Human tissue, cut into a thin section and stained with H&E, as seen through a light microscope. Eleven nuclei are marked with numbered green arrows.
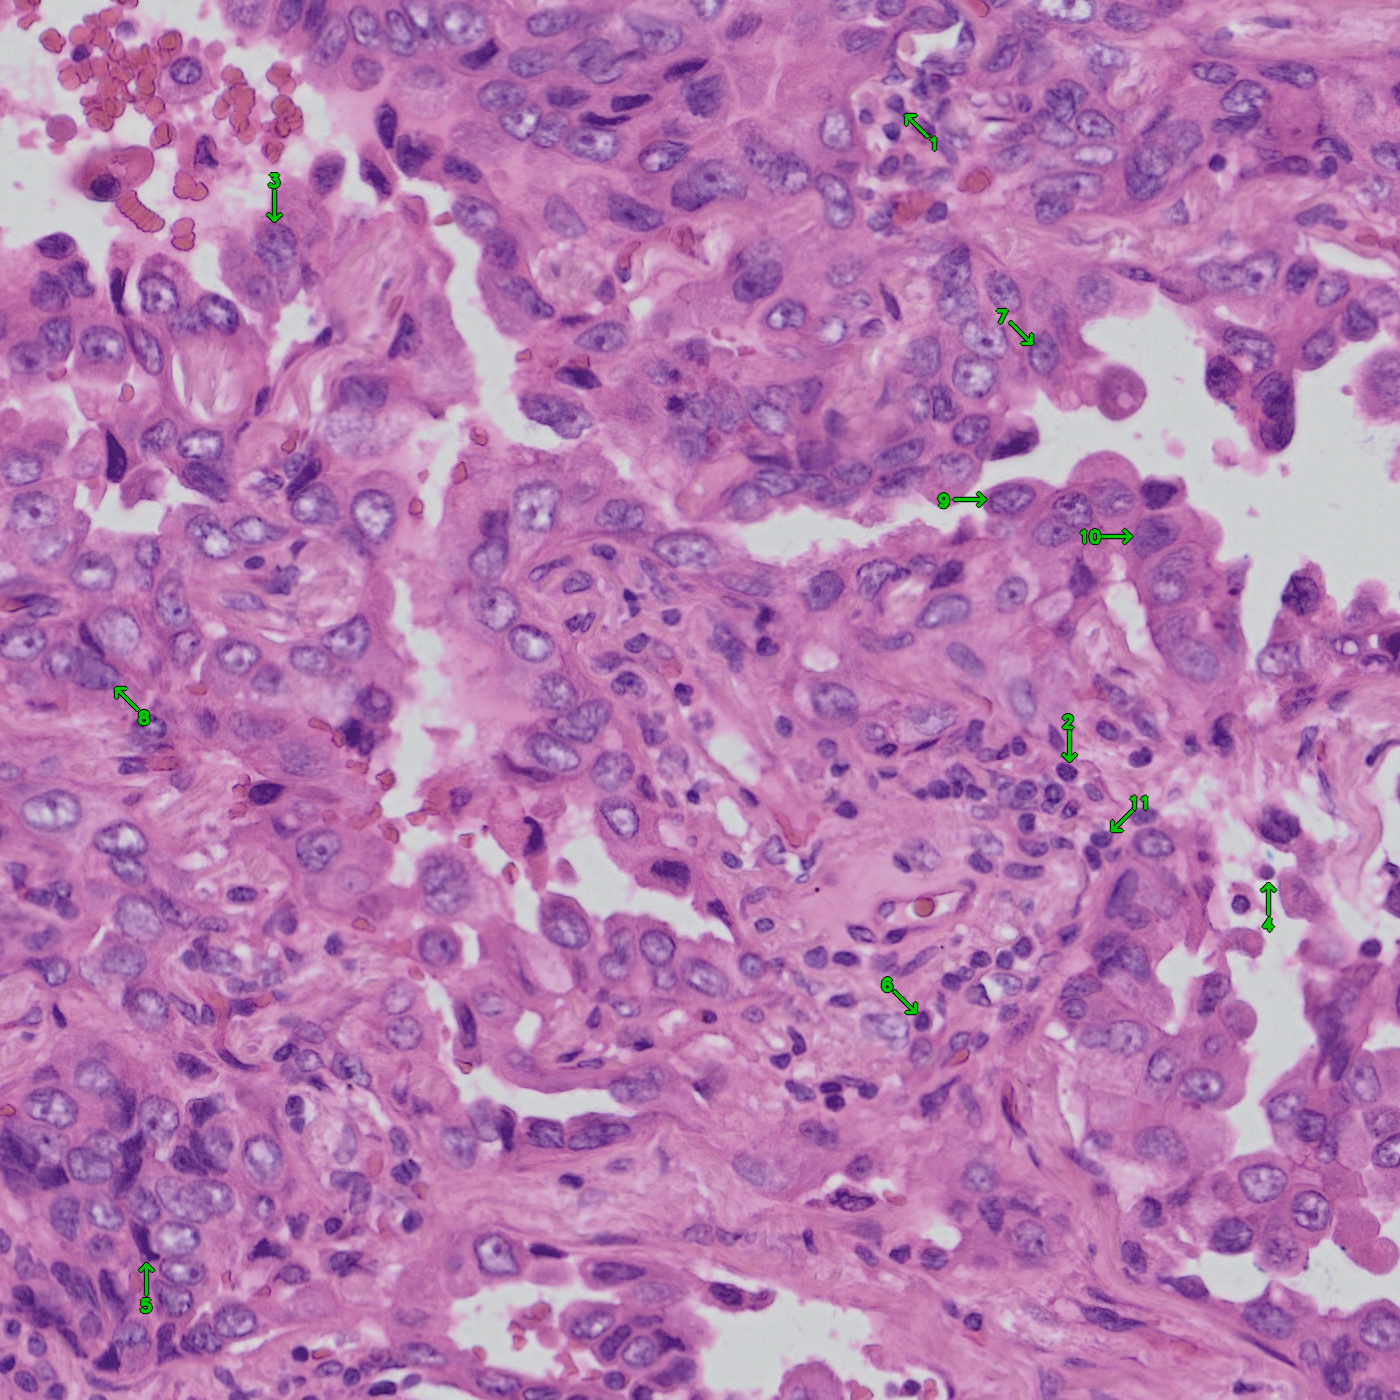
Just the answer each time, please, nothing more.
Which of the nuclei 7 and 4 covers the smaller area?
4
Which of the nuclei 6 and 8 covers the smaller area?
6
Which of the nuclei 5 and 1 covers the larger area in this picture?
5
